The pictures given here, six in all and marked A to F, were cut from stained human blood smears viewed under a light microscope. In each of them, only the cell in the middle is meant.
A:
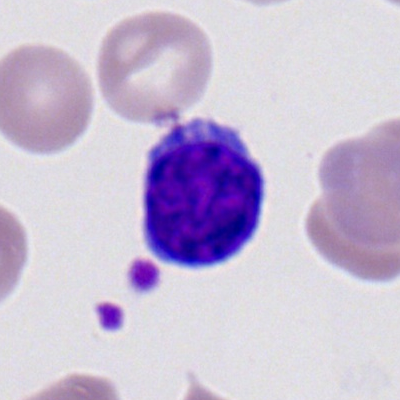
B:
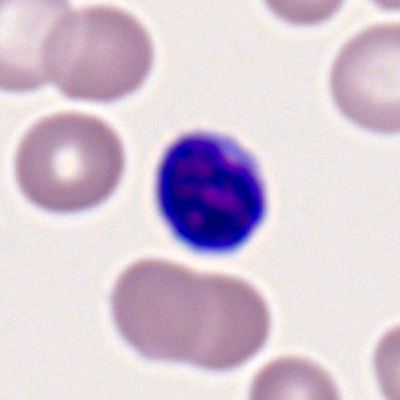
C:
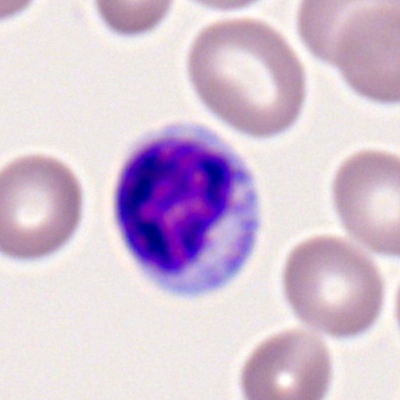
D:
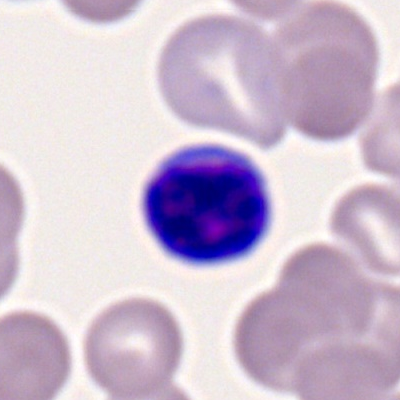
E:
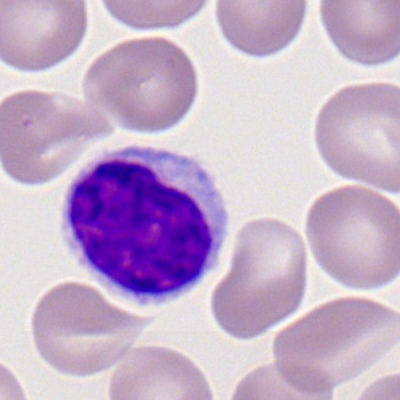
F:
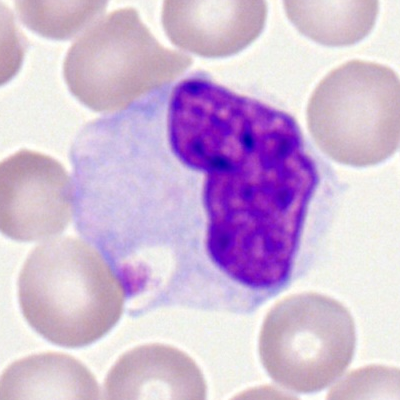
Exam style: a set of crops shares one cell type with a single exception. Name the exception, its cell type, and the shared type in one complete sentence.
Crop F alone shows a monocyte; the other crops are all lymphocytes.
